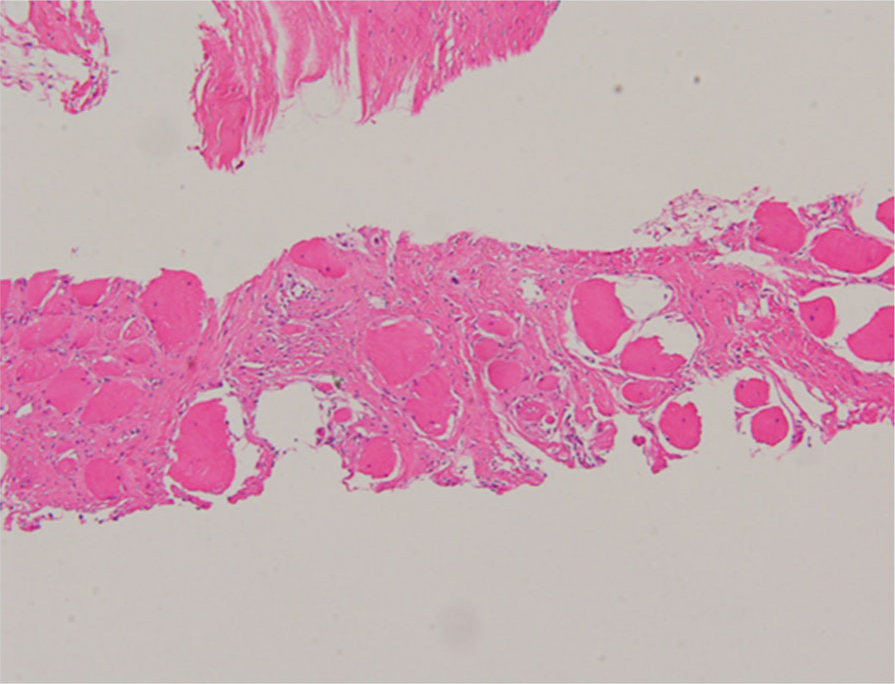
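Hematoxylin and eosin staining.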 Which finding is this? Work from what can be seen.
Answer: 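Endomysial and perimysial fibrosis. Abundant pale pink fibrous connective tissue lies between the muscle fibers. Muscle fibers are widely separated from one another and sit singly or in small groups within the connective tissue.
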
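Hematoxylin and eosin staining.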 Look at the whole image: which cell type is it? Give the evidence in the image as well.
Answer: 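Large rounded to polygonal, homogeneous bright pink profiles in cross section. Profiles vary considerably in size. A fragment at the top shows long parallel fibers cut lengthwise. The answer: muscle fibers.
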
